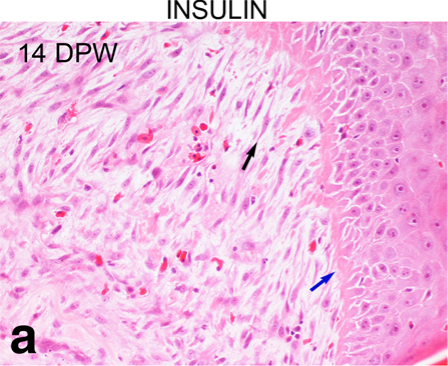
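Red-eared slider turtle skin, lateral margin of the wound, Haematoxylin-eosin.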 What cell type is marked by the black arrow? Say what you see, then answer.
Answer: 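Large fibroblasts. Elongated spindle-shaped cells with oval nuclei lie in a loose pink stroma. Small red blood cells are scattered among them.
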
